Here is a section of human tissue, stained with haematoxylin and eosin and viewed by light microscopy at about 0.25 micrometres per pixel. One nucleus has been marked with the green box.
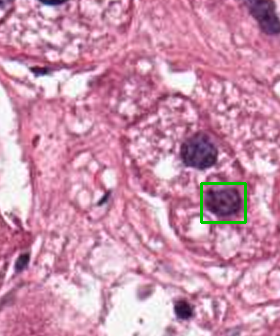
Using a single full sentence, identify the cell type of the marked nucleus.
Within an adrenal cortical cell lies the marked nucleus.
